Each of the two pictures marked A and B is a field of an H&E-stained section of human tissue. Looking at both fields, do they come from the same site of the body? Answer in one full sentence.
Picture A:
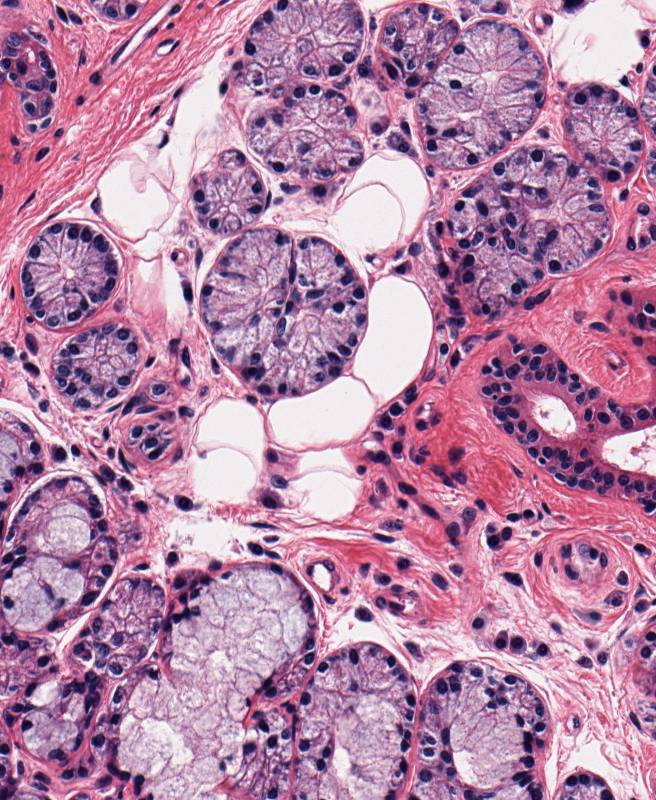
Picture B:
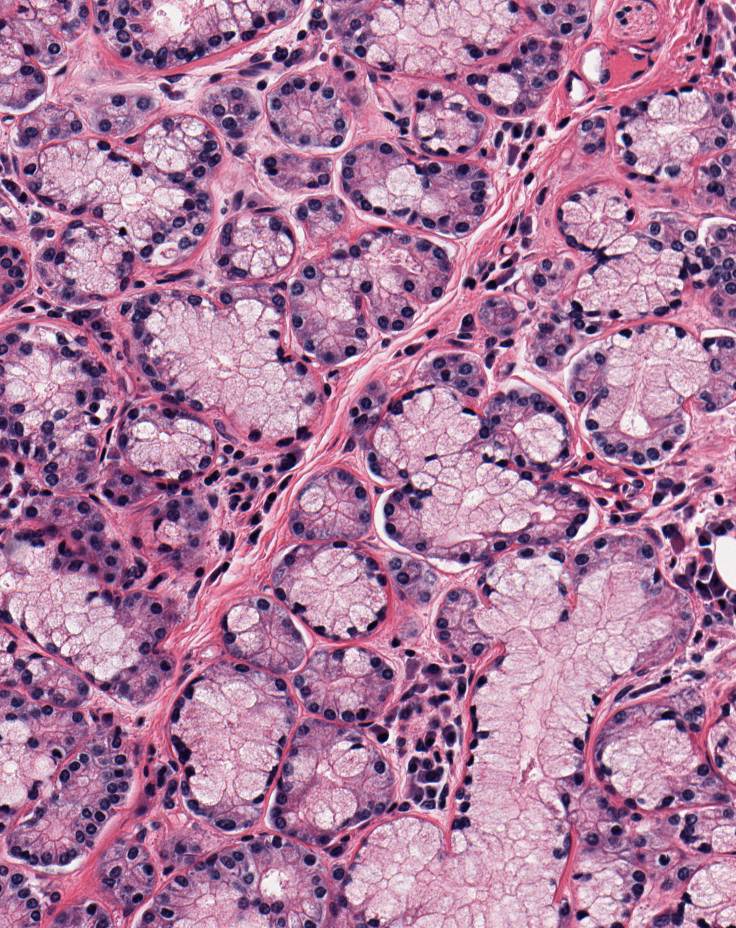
Yes, both come from a minor salivary gland.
